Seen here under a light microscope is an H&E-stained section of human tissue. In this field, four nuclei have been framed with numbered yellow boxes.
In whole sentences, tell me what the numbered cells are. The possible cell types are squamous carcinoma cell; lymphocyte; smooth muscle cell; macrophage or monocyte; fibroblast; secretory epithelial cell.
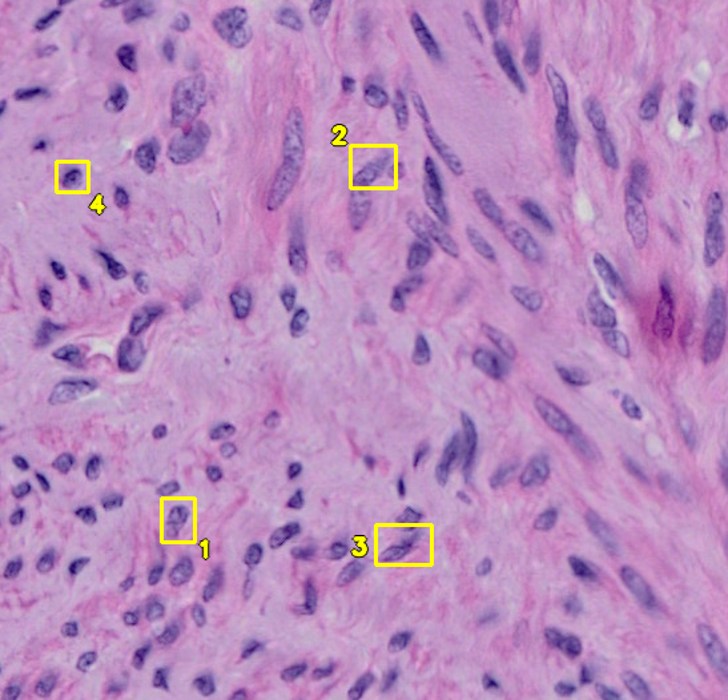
Cell 1 is a smooth muscle cell, cell 2 is a smooth muscle cell, cell 3 is a smooth muscle cell and cell 4 is a fibroblast.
